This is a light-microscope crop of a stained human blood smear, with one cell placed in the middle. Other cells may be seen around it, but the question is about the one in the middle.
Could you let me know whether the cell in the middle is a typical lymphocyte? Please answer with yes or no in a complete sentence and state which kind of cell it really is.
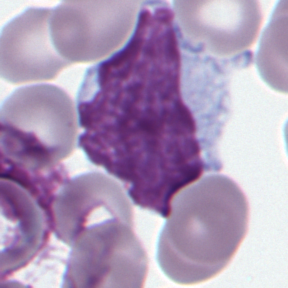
Yes, the centre of the crop holds a typical lymphocyte.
